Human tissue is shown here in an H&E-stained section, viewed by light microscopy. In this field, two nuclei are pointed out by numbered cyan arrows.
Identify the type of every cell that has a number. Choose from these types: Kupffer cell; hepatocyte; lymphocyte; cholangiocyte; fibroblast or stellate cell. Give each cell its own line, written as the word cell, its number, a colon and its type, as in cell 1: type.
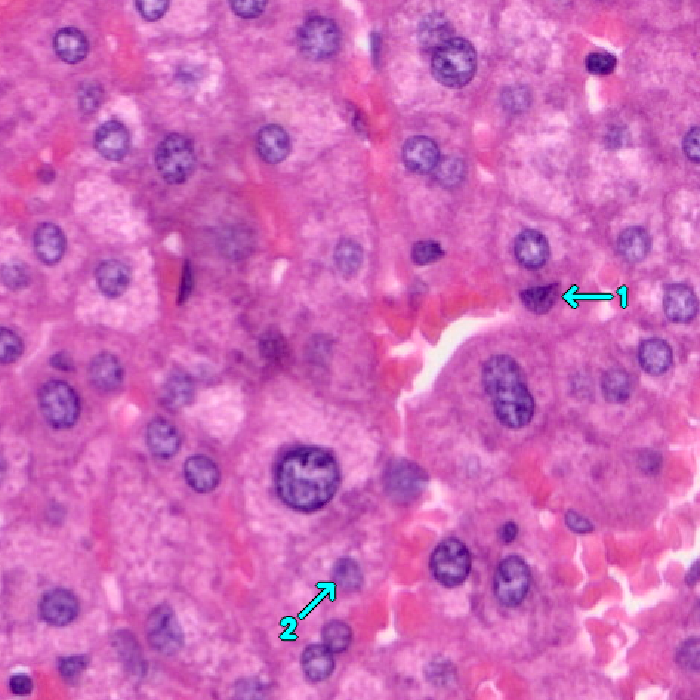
cell 1: fibroblast or stellate cell
cell 2: hepatocyte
